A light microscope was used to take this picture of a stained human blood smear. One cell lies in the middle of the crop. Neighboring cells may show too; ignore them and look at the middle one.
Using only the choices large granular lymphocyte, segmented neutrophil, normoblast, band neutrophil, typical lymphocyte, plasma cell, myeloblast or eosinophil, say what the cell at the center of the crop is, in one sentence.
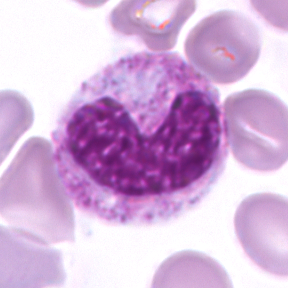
In the middle of this smear crop, the cell is a band neutrophil.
